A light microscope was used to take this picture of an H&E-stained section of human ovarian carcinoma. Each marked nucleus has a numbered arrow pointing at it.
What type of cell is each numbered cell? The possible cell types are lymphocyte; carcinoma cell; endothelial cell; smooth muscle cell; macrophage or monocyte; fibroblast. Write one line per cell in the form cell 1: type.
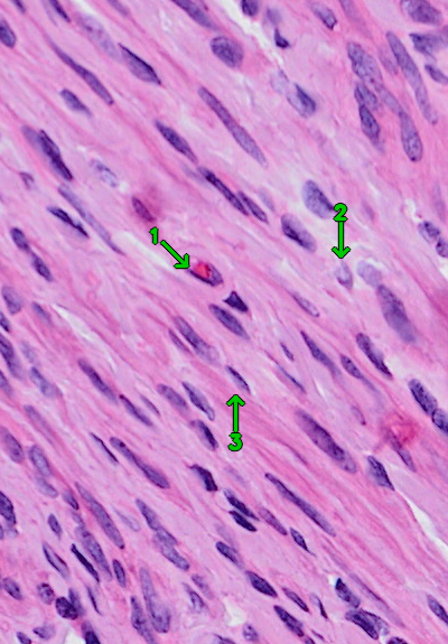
cell 1: endothelial cell
cell 2: fibroblast
cell 3: smooth muscle cell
